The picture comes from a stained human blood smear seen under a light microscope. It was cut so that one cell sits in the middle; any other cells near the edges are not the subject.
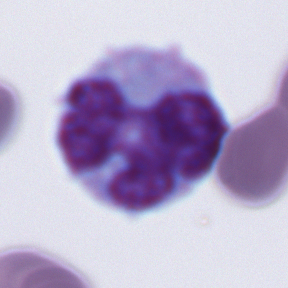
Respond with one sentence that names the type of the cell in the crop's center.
The centrally positioned cell in the crop represents a monocyte.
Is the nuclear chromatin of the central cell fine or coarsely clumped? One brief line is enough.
The chromatin of this one is coarsely clumped.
